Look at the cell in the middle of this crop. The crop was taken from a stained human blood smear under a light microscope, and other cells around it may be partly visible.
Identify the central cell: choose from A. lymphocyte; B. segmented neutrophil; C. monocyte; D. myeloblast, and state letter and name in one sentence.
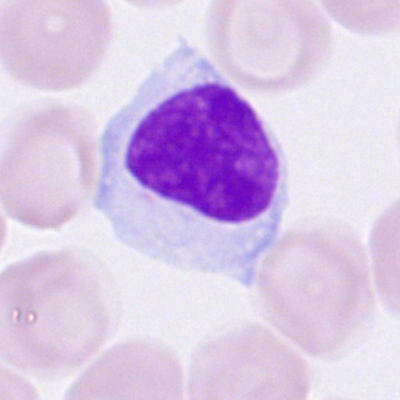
That cell in the center is a lymphocyte, hence option A.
